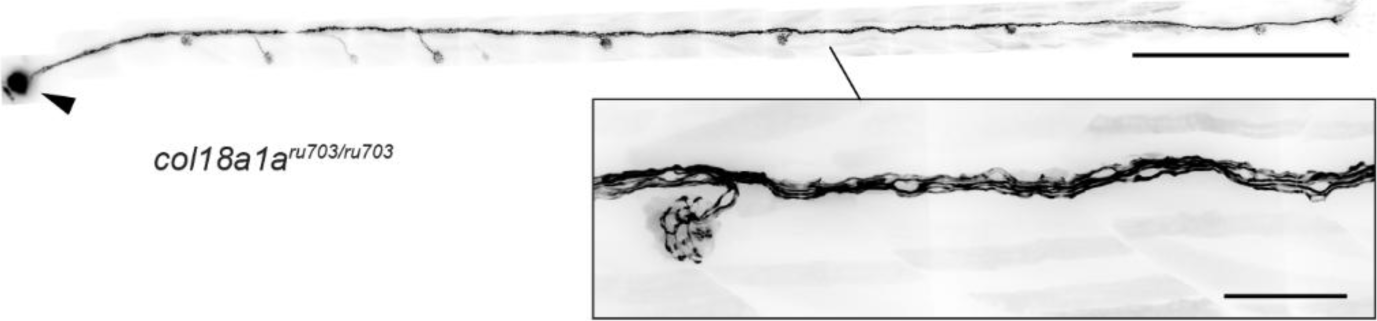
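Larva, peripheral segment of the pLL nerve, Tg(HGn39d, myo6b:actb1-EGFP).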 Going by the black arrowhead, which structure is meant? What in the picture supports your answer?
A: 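Ganglion. A dense dark round mass sits at the proximal end of the long nerve. The nerve runs out from this mass along the body.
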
